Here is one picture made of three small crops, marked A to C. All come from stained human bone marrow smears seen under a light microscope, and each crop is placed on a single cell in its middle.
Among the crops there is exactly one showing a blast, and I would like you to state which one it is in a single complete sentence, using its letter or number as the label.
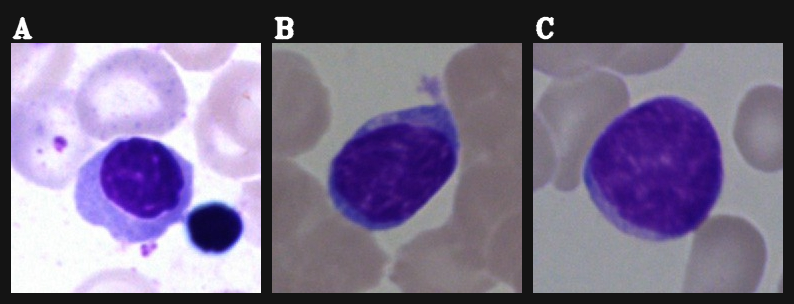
Among the crops, only crop C contains a blast.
